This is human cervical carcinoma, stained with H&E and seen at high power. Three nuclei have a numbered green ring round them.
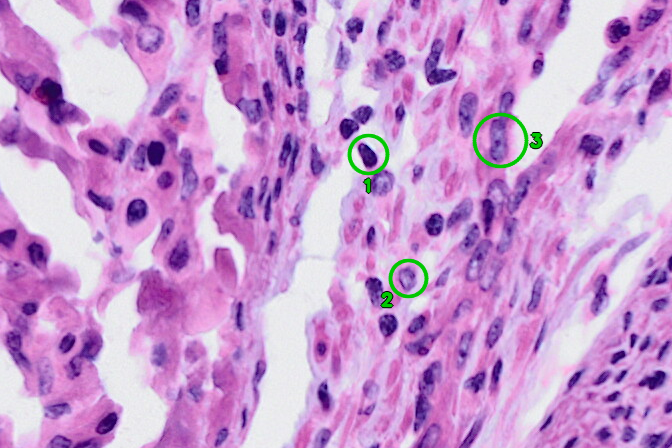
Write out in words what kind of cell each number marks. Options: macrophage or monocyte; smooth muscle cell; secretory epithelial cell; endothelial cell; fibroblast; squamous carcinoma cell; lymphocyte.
Cell 1 is a lymphocyte. Cell 2 is a macrophage or monocyte. Cell 3 is an endothelial cell.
